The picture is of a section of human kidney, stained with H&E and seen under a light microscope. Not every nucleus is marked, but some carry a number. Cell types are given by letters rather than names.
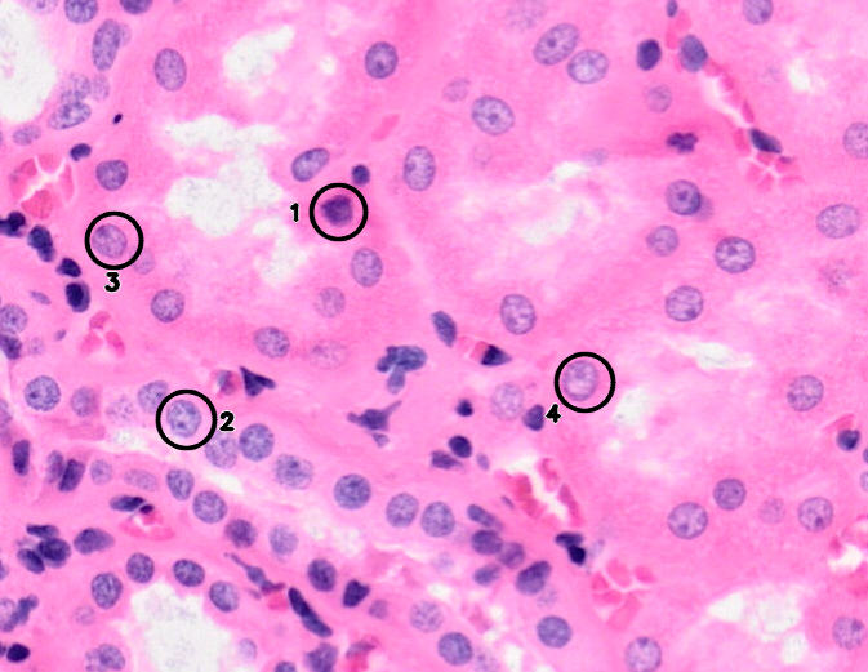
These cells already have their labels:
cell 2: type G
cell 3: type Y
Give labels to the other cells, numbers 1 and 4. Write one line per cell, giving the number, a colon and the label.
1: type Y
4: type Y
